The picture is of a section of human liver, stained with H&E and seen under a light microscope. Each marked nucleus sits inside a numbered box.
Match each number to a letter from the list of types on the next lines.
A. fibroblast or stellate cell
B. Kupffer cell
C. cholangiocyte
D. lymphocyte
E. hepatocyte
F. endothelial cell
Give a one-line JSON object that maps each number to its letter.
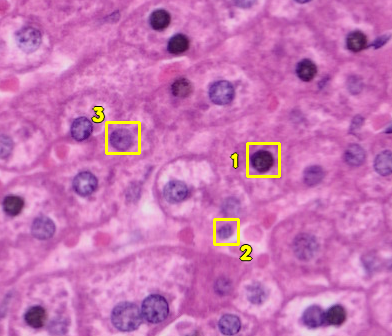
{"1": "E", "2": "D", "3": "E"}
